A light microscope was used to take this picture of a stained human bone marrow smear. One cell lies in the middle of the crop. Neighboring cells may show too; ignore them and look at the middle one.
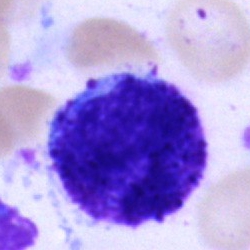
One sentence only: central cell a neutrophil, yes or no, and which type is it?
No, it is a basophil rather than a neutrophil that the middle of the crop contains.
